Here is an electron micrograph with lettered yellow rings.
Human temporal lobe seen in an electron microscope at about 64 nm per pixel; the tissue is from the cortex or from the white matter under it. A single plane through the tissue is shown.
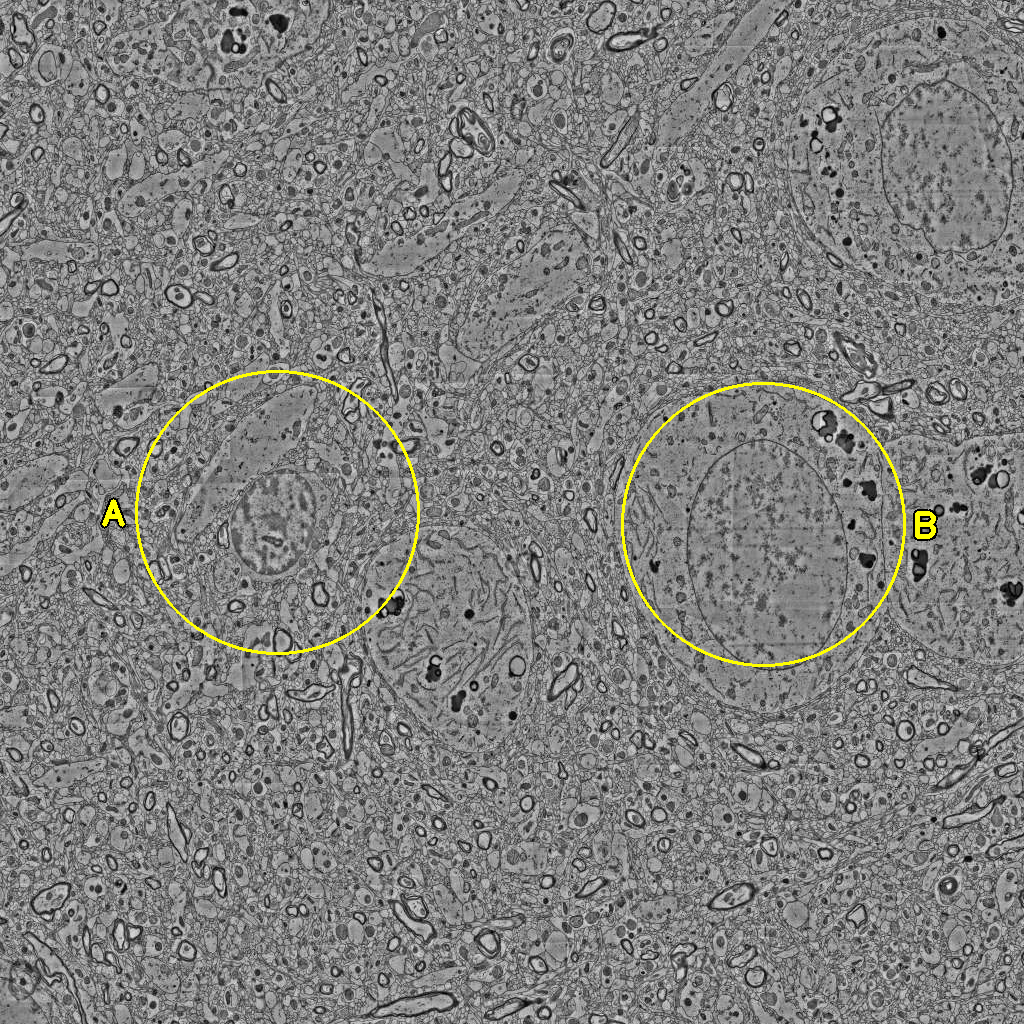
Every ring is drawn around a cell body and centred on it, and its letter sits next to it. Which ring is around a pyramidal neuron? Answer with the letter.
B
